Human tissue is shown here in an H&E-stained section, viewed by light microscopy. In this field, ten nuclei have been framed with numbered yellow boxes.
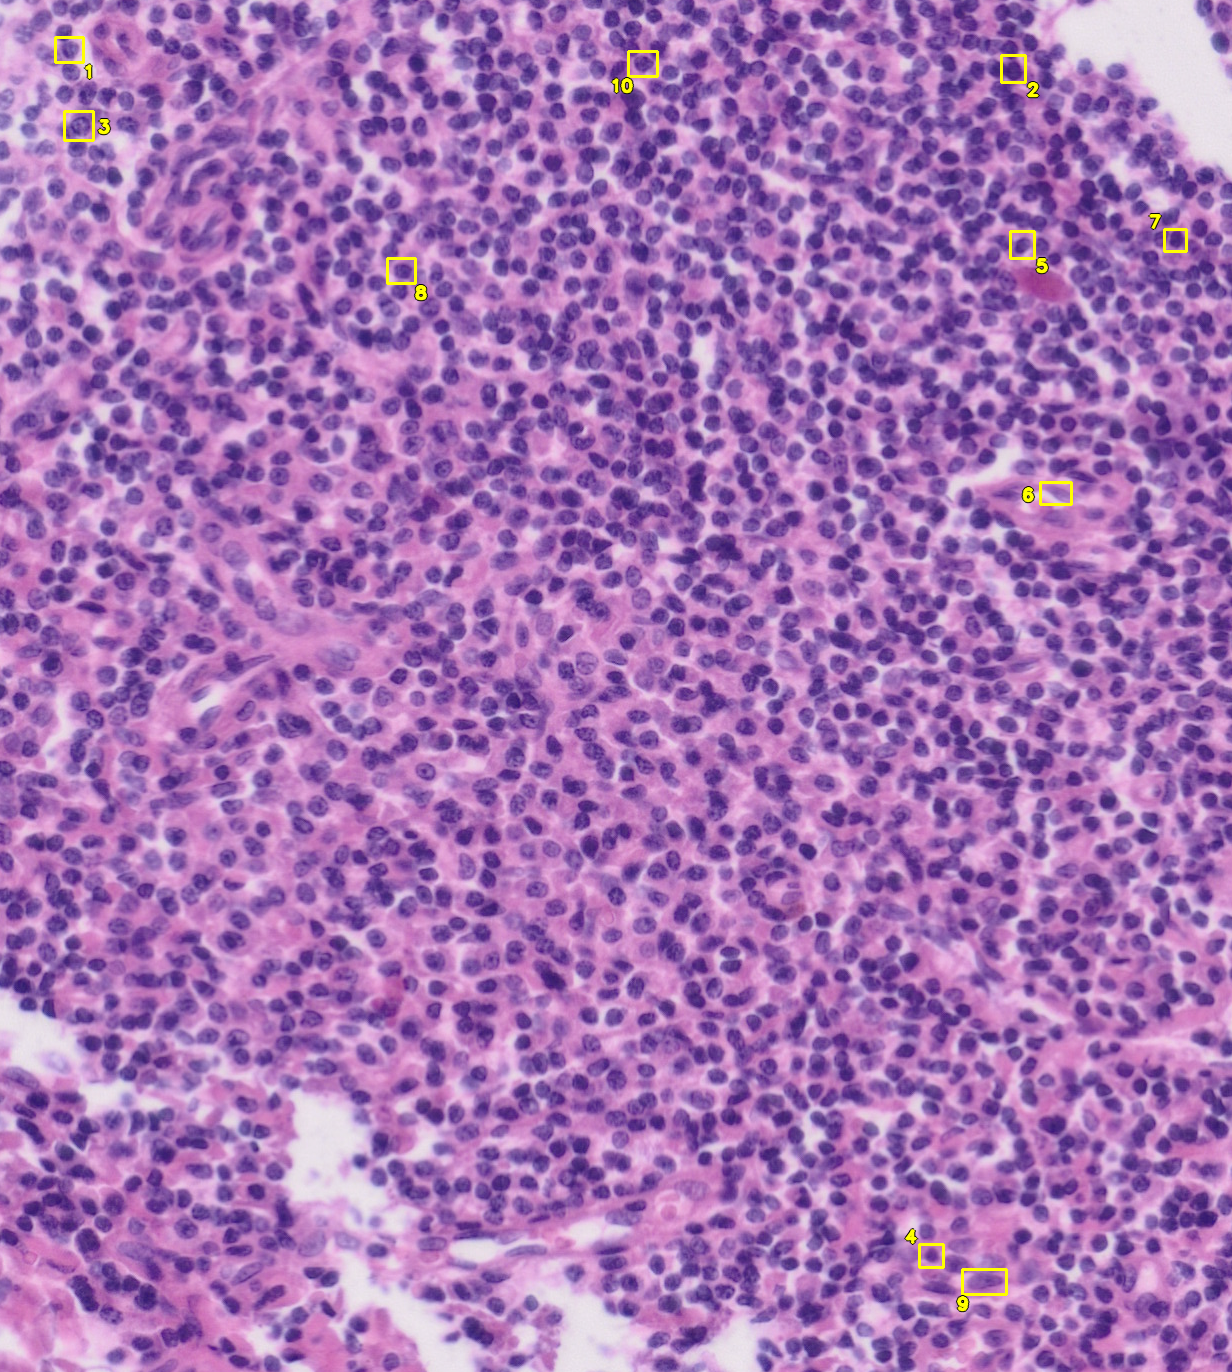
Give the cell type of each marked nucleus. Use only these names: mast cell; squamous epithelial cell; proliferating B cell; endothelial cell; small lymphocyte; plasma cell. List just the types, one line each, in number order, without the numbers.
small lymphocyte
small lymphocyte
plasma cell
endothelial cell
small lymphocyte
endothelial cell
small lymphocyte
small lymphocyte
endothelial cell
small lymphocyte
